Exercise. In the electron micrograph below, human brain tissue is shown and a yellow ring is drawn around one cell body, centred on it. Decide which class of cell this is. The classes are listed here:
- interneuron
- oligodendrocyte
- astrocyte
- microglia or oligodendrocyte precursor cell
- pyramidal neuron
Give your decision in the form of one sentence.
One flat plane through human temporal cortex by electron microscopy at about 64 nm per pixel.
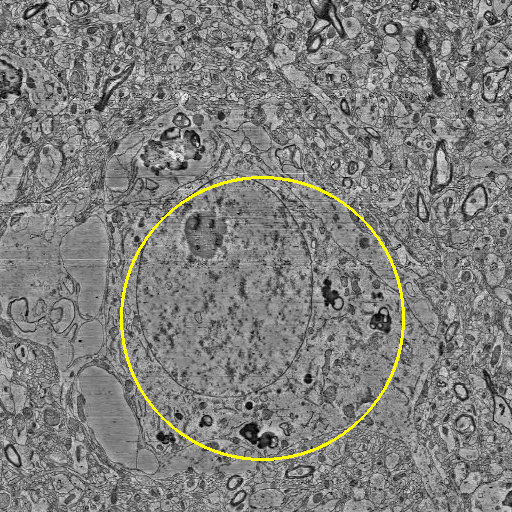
The cell body marked by the ring belongs to a pyramidal neuron.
